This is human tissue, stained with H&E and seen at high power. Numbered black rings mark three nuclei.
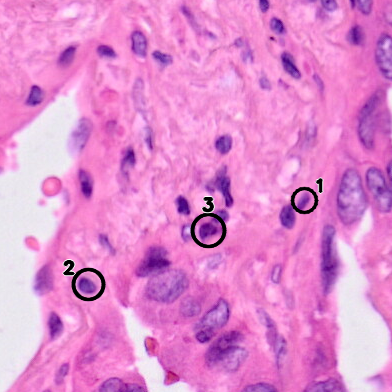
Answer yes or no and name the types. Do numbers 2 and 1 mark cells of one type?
Yes, that cells 2 and 1 are both lymphocytes holds true.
